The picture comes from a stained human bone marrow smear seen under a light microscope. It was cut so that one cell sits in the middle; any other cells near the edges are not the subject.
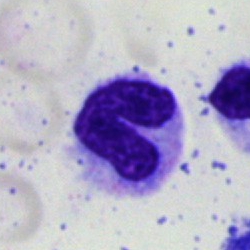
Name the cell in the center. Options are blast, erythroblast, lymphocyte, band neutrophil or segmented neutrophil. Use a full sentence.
Whatever else lies nearby, the middle cell is a band neutrophil.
